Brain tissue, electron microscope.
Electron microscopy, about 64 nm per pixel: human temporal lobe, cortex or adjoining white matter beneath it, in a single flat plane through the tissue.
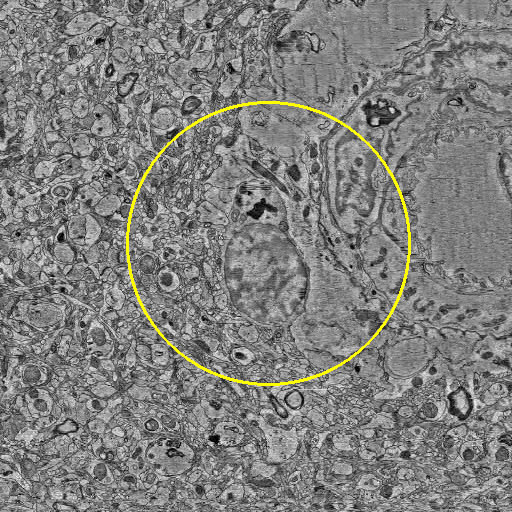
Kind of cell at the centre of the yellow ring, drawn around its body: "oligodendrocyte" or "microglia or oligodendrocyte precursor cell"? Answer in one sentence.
The ring's centre falls on an oligodendrocyte.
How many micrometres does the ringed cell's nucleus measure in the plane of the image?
In this plane the nucleus is about 7 micrometres by 5.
